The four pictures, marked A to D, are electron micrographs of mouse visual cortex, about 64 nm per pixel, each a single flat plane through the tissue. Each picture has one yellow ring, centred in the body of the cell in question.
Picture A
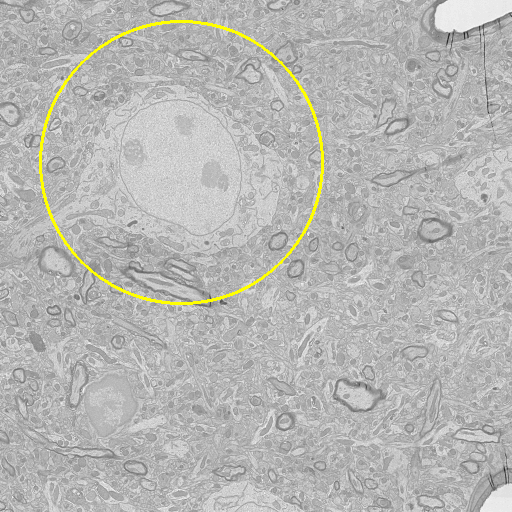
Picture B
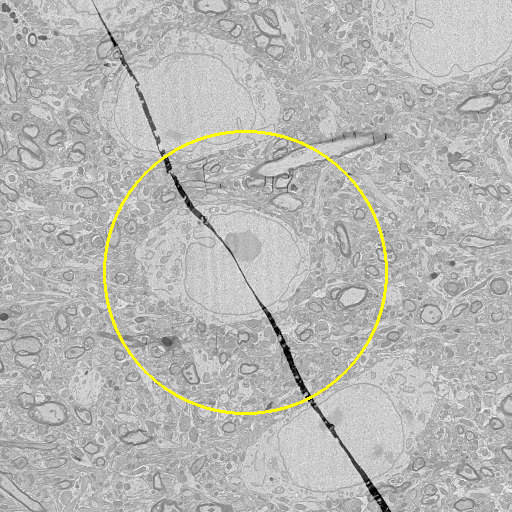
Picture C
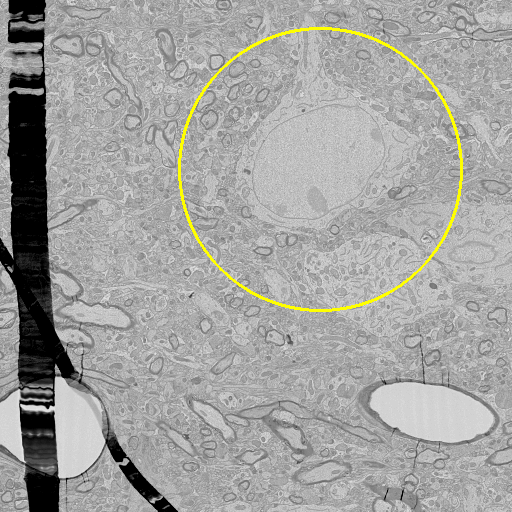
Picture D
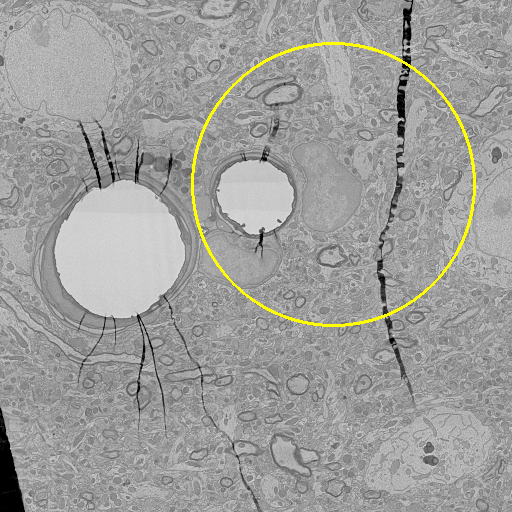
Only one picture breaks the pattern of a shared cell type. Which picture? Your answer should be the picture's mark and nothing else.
D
